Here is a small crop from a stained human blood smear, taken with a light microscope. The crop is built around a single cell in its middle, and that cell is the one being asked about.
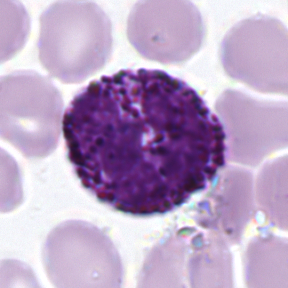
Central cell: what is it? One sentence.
The crop shows a basophil in its centre.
